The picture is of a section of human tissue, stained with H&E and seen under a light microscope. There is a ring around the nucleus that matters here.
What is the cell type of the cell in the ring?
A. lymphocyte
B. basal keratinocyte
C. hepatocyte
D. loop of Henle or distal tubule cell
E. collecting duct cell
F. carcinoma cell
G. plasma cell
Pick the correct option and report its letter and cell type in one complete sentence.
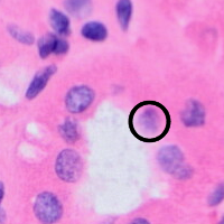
Of all the options, D is right, since the cell in the ring is a loop of Henle or distal tubule cell.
